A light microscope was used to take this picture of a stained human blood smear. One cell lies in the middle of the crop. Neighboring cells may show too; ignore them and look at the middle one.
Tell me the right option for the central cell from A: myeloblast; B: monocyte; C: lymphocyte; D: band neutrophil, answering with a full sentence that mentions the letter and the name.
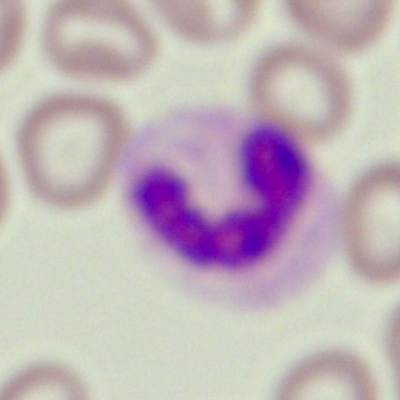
The middle cell of the crop is a band neutrophil; accordingly, option D is correct.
